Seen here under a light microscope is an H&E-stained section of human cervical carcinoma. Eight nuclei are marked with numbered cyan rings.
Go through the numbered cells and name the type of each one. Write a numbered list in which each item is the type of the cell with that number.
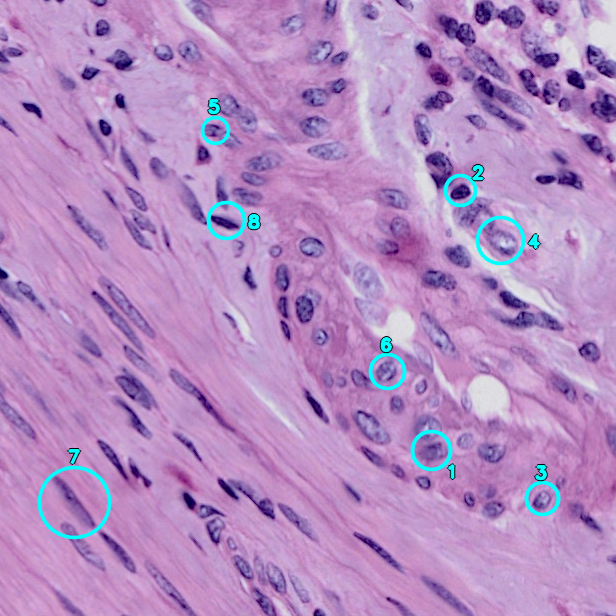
1. smooth muscle cell
2. lymphocyte
3. smooth muscle cell
4. endothelial cell
5. smooth muscle cell
6. smooth muscle cell
7. fibroblast
8. fibroblast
